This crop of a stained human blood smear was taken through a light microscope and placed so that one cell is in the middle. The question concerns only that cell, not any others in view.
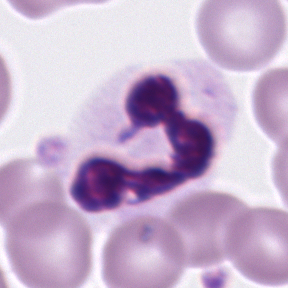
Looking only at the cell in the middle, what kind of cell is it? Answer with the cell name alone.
segmented neutrophil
